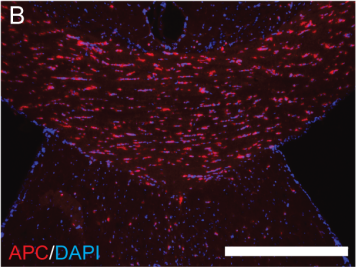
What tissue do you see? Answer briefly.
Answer: Corpus callosum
